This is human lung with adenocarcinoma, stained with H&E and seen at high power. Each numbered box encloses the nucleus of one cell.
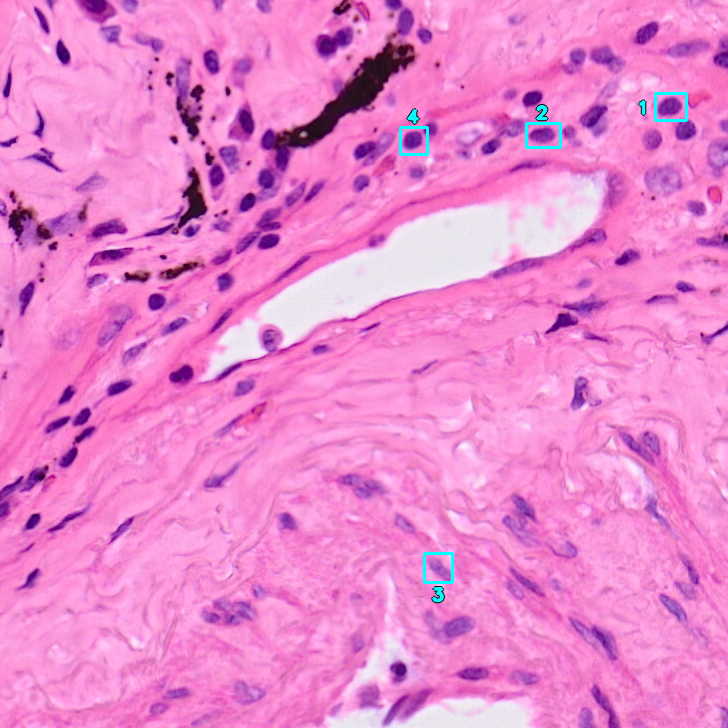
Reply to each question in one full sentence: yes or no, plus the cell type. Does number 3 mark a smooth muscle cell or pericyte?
Yes, regarding cell number 3, it is a smooth muscle cell or pericyte.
